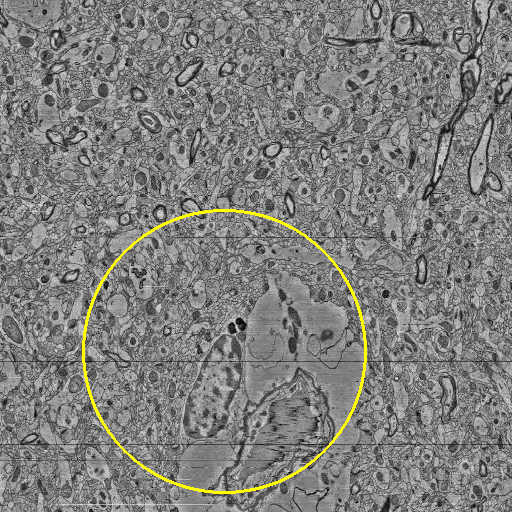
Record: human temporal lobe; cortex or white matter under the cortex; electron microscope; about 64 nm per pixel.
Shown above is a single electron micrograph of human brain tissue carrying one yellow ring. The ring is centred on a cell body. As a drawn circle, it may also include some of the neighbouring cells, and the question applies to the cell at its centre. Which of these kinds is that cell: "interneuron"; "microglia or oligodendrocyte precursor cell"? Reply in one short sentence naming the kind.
The cell marked by the ring is a microglial cell or oligodendrocyte precursor cell.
